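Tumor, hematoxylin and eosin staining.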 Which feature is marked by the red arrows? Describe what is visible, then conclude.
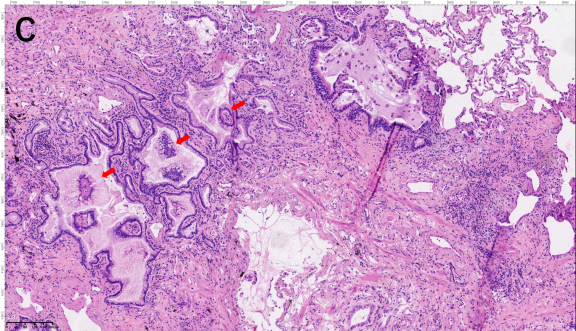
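Papillary structure. The arrows point at small epithelial tufts projecting into the lumens of glandular spaces. The tufts lie detached from the surrounding gland wall within pale mucoid material.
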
